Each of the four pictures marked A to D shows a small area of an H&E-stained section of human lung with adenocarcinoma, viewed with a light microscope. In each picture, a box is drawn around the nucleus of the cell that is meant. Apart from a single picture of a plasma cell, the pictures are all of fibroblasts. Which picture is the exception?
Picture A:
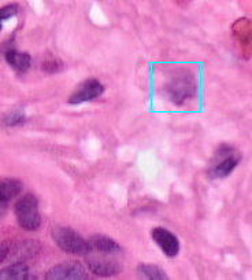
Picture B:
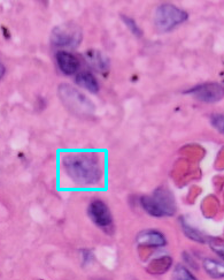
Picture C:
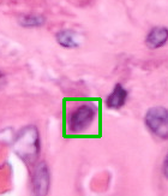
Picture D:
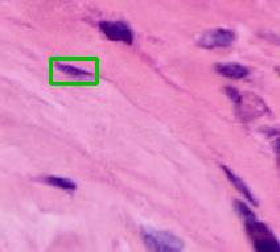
C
